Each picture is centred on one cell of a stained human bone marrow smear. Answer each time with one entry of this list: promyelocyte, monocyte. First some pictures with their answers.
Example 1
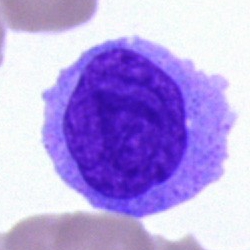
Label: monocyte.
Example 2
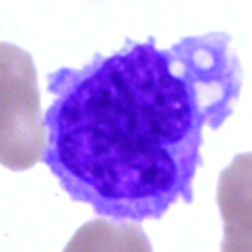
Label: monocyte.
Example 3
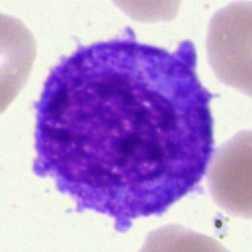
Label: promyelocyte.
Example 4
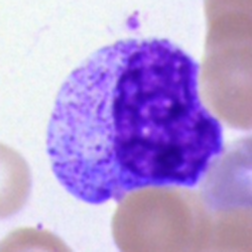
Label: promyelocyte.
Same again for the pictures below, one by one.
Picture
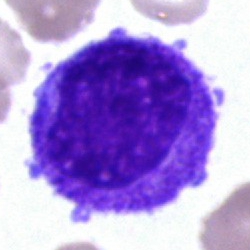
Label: promyelocyte.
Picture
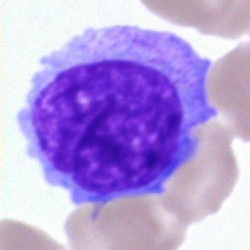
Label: monocyte.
